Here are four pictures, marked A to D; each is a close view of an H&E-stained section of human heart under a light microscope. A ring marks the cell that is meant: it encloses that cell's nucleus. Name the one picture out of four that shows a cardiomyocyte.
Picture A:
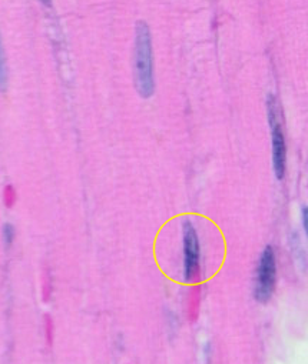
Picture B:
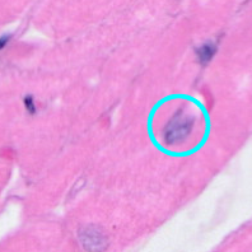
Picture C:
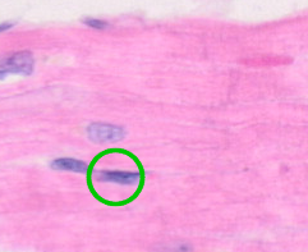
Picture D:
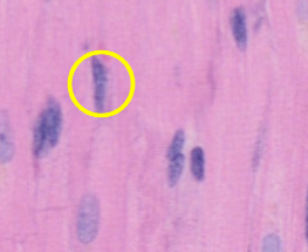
B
